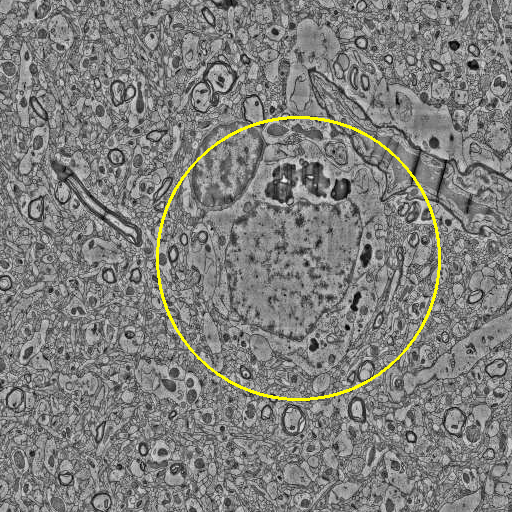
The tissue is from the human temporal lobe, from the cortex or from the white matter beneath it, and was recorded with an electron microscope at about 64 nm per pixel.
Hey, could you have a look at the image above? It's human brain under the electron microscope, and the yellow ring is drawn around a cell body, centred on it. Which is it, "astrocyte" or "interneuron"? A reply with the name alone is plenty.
interneuron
